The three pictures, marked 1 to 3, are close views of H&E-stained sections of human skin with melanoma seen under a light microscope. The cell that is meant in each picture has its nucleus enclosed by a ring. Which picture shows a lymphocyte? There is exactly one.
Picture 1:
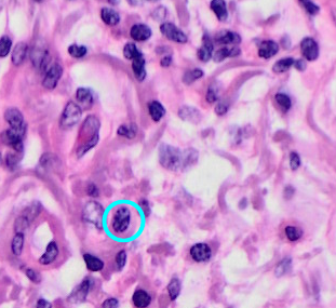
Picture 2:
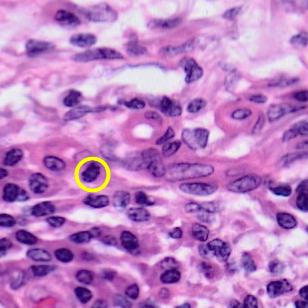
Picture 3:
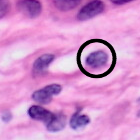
3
